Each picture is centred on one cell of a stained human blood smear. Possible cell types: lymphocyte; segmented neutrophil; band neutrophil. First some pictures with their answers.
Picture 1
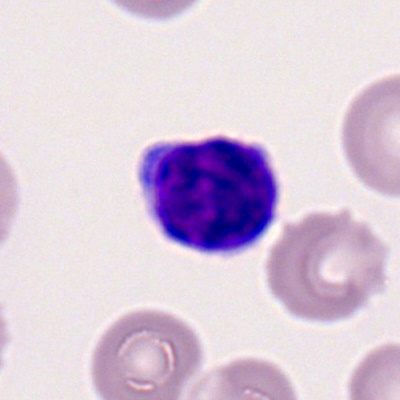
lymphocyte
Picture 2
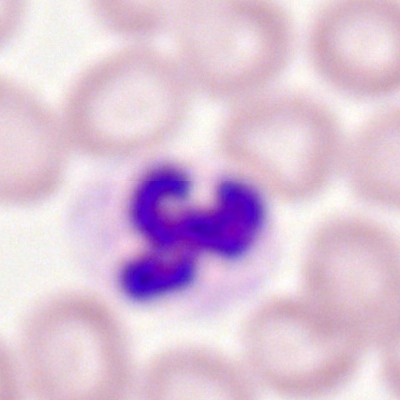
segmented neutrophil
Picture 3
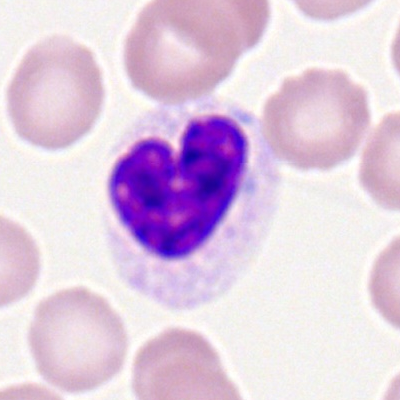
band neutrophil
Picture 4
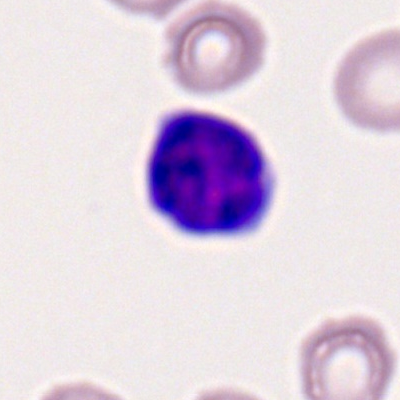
lymphocyte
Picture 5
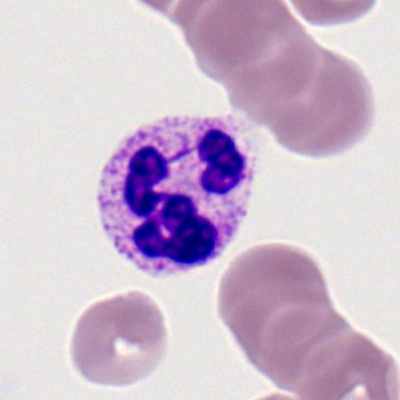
segmented neutrophil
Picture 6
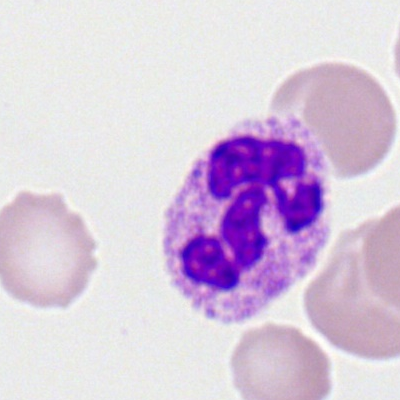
segmented neutrophil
